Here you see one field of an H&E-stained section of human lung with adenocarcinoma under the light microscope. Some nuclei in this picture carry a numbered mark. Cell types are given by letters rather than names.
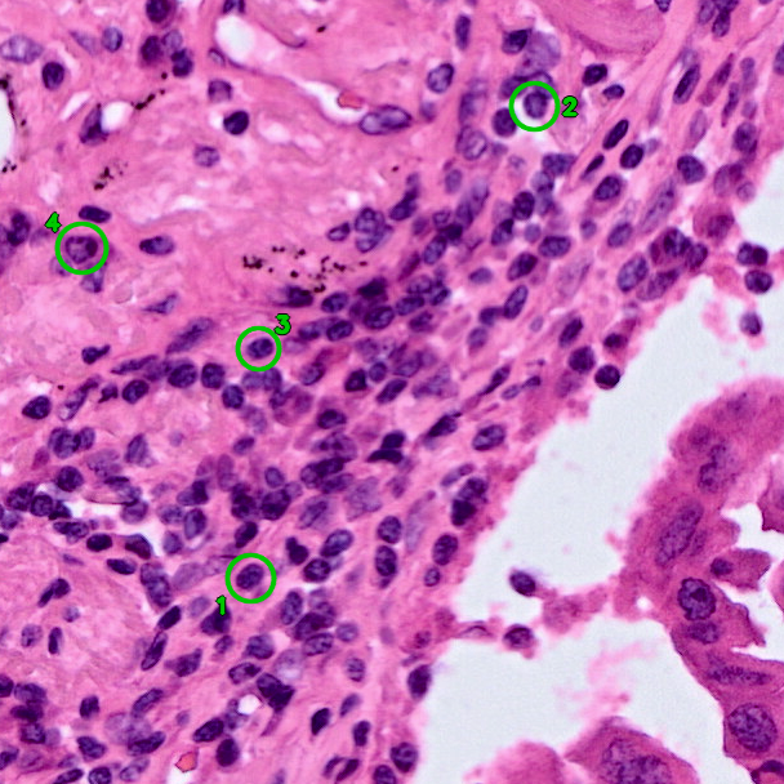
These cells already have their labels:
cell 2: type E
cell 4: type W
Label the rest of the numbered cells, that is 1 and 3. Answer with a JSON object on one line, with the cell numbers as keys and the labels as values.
{"1": "type E", "3": "type E"}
